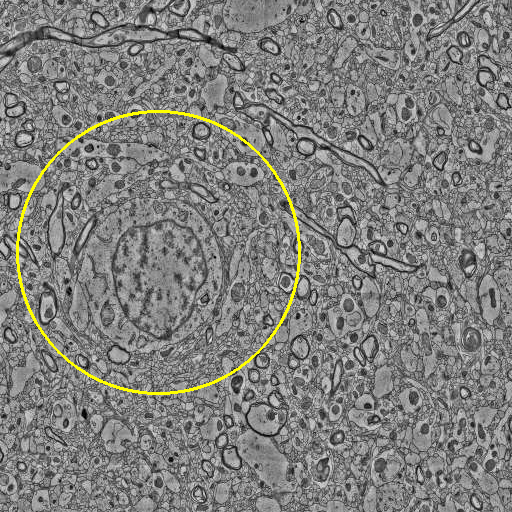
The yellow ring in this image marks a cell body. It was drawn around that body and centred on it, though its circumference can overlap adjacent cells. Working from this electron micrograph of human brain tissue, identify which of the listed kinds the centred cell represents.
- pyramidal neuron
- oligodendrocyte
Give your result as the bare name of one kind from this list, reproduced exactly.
pyramidal neuron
